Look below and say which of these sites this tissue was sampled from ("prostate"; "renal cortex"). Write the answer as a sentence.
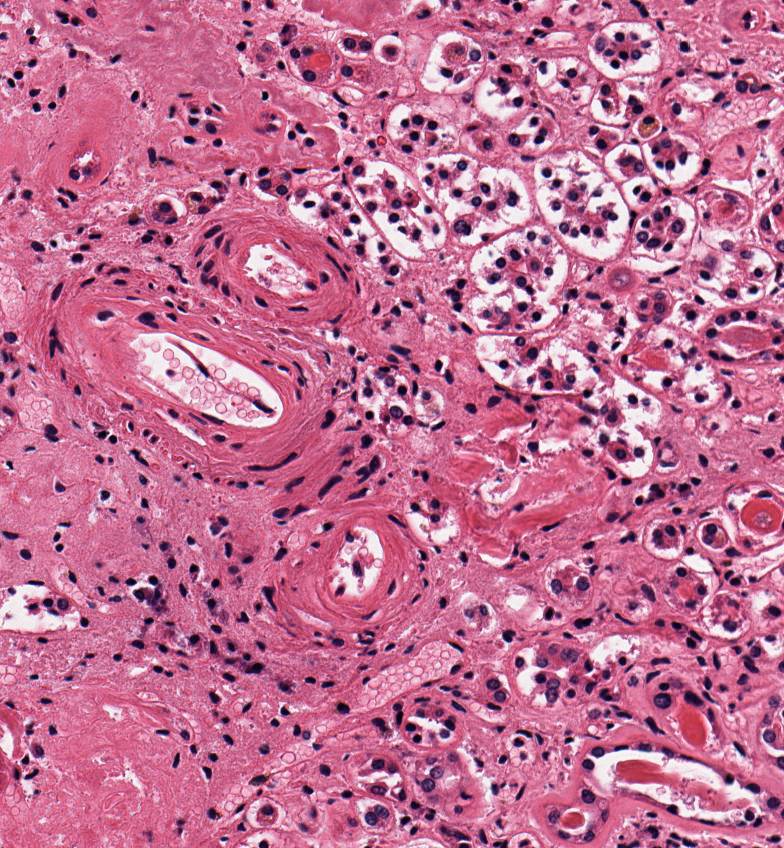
The site this tissue was sampled from is the renal cortex.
